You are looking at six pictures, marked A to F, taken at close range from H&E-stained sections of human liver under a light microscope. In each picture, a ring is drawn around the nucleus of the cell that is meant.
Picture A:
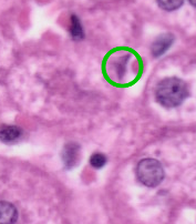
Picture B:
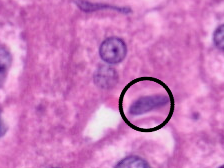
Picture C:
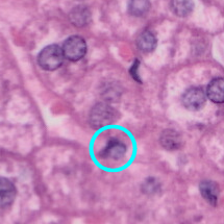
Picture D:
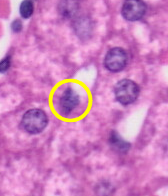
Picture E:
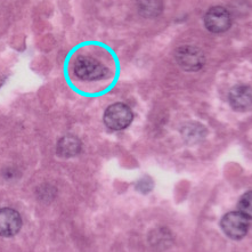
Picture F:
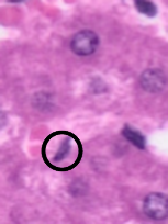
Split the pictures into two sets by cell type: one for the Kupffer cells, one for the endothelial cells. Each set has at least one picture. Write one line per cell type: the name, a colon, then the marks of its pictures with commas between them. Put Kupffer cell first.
Kupffer cell: B, E
endothelial cell: A, C, D, F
